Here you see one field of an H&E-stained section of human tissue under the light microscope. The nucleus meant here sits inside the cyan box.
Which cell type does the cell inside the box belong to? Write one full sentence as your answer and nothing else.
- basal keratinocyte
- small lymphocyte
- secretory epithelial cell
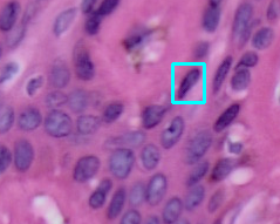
In cell-type terms, the cell inside the box is a basal keratinocyte.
